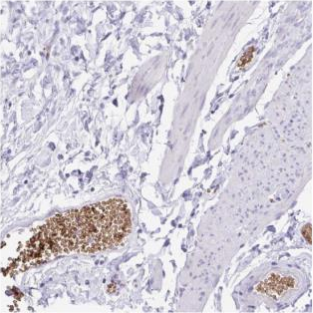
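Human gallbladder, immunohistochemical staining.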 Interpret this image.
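Pale connective tissue and smooth muscle bundles with scattered blue nuclei surround several vessels whose lumina are packed with small, tightly crowded brown-stained bodies without nuclei. These packed brown bodies are erythrocytes filling the vessels, while the wall tissue around them stays largely unstained.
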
